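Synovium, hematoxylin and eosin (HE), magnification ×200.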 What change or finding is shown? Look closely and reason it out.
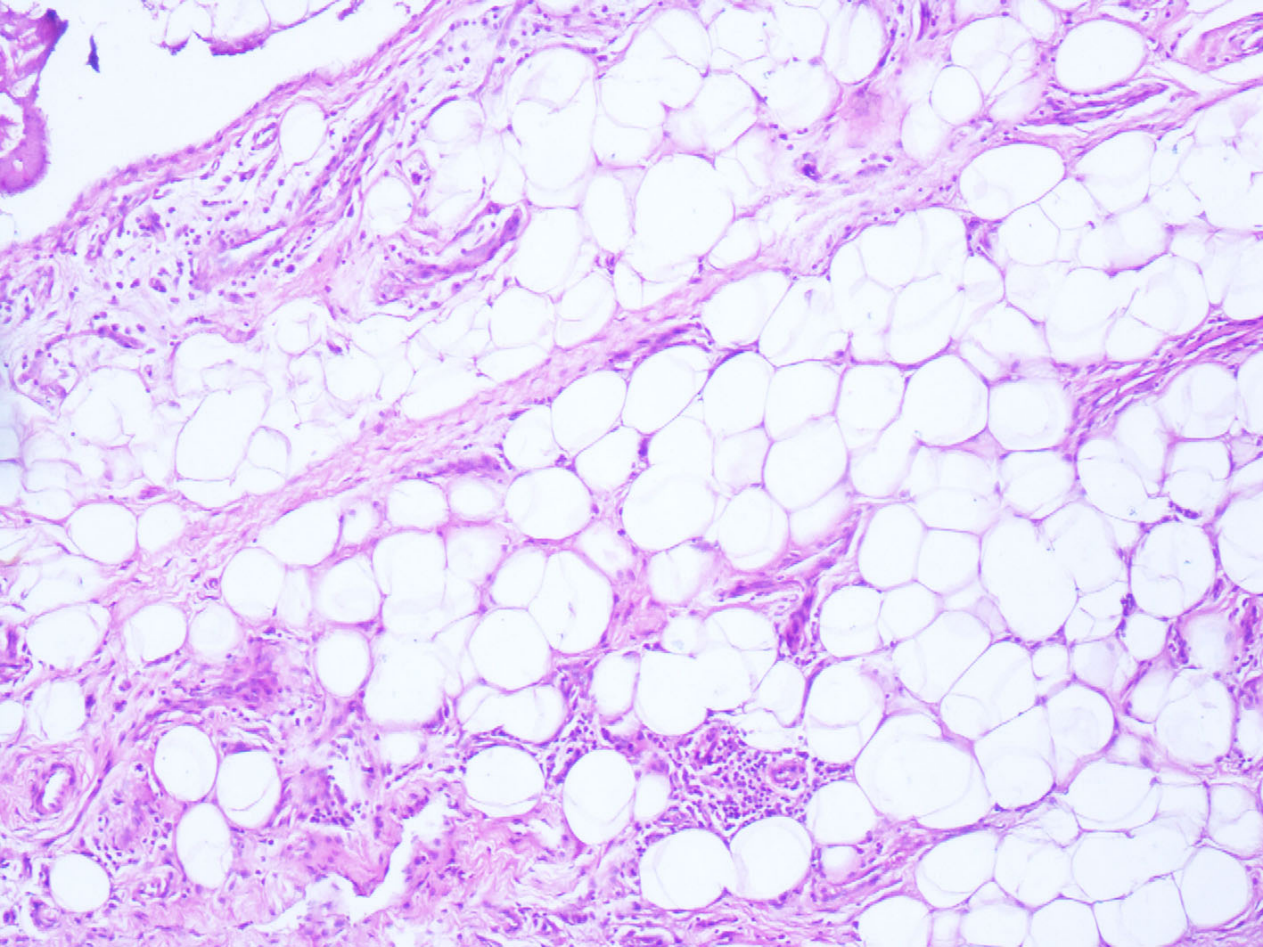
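Substitution of subsynovial tissue by mature adipocytes. Beneath a thin surface lining at the upper left, the tissue is made up almost entirely of fat cells. Only thin strands of fibrous connective tissue remain between the fat lobules.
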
